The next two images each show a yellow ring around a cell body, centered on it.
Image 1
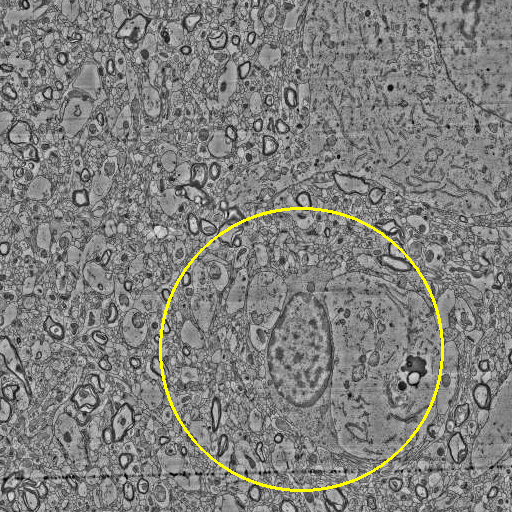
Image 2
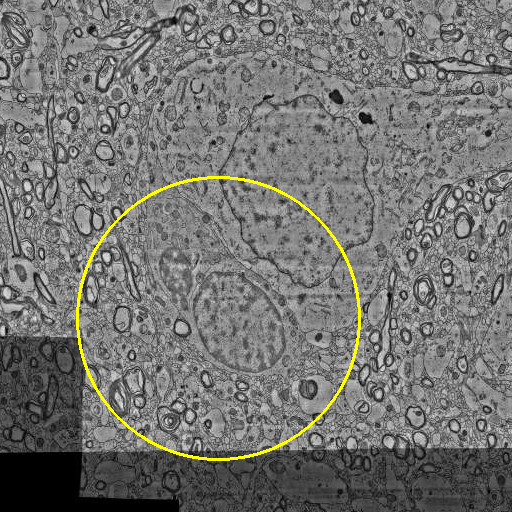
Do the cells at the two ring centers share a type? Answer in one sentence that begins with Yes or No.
Yes, across the two images the cells at the ring centers share one type.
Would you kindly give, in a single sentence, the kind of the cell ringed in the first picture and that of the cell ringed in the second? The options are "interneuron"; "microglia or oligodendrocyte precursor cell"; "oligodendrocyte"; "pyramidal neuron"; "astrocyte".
The ring centre holds an oligodendrocyte in each of the two pictures.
